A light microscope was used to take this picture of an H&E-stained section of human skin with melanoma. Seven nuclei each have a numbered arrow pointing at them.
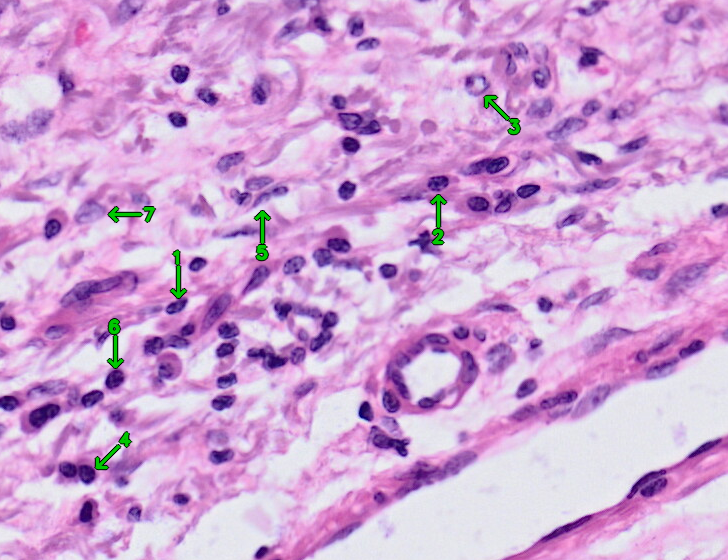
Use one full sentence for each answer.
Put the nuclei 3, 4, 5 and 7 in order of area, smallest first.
By area, going up from the smallest, they rank 5, 4, 3, 7.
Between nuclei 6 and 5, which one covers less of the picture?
The smaller nucleus is 5, and 6 covers roughly 3 times its area.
